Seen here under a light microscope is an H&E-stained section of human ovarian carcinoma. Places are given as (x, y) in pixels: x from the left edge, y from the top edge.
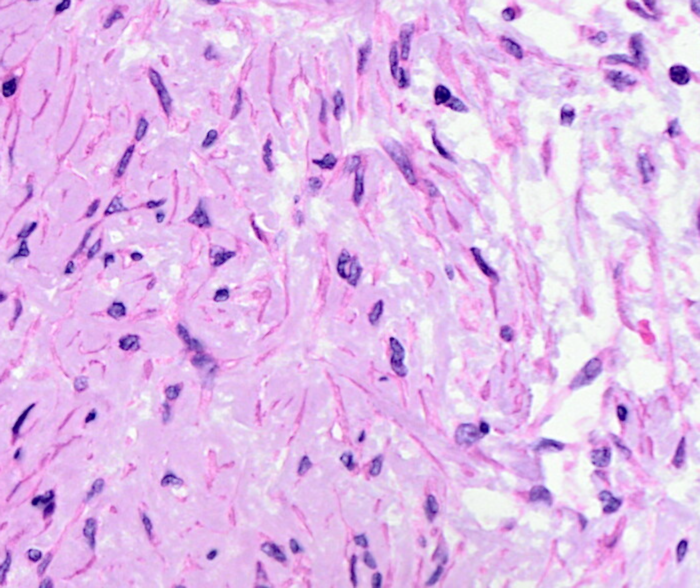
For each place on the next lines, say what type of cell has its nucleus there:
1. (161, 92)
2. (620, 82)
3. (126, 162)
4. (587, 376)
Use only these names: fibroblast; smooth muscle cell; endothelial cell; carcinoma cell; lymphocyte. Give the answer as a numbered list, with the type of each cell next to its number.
1. fibroblast
2. fibroblast
3. fibroblast
4. endothelial cell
